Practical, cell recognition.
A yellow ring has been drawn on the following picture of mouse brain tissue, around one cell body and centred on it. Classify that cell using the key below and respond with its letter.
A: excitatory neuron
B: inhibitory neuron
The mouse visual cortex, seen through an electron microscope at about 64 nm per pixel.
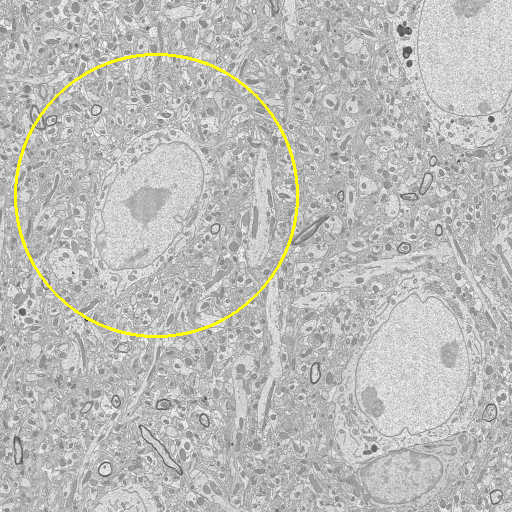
B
